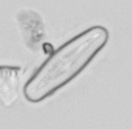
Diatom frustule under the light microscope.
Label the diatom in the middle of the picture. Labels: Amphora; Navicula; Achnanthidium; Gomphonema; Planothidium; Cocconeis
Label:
Achnanthidium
